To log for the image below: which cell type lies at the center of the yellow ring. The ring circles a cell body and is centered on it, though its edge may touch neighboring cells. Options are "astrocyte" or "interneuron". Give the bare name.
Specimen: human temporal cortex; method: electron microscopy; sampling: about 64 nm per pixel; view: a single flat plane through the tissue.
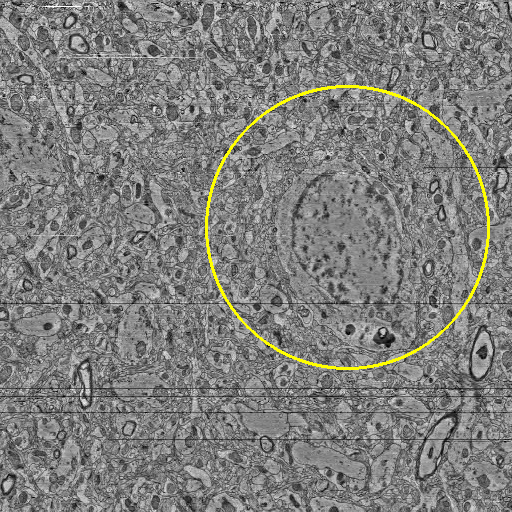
interneuron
